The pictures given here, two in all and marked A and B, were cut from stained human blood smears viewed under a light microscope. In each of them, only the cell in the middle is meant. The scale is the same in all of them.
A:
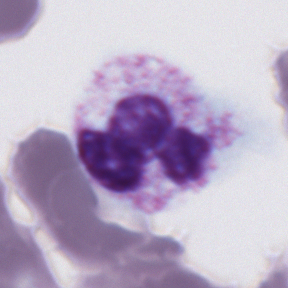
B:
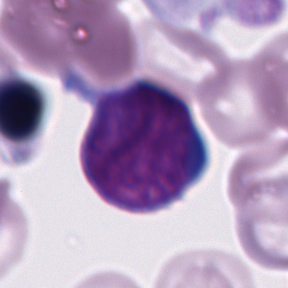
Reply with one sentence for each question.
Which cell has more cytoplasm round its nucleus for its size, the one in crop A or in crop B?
The nucleus fills less of the cell in crop A than in crop B.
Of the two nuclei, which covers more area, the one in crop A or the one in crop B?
Larger is the nucleus in crop B, at roughly 1.5 times the area of the other.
